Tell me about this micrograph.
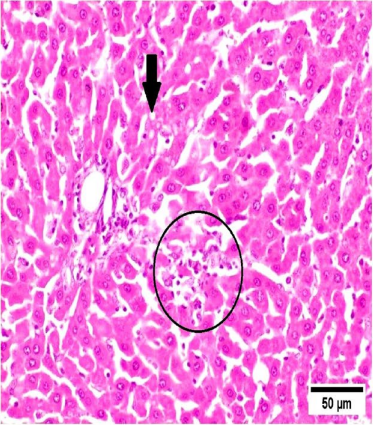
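This is liver tissue, with plates of hepatocytes running toward a small central vessel. Most hepatocytes are polygonal with pink cytoplasm and round nuclei, but some look pale and cleared, showing vacuolar degeneration. The sinusoids between the cords are widened in parts. To the right of the vessel lies a rounded area where the normal cords break down: instead of intact hepatocytes there are fragments of pale material and scattered small dark nuclei of inflammatory cells, a focus of necrosis. Around this focus the surrounding hepatocytes keep their plate arrangement.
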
